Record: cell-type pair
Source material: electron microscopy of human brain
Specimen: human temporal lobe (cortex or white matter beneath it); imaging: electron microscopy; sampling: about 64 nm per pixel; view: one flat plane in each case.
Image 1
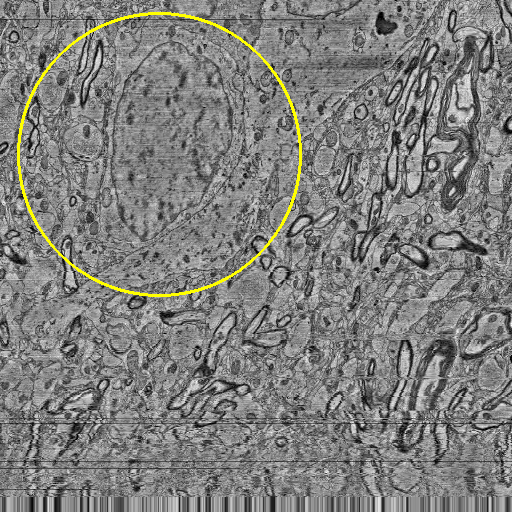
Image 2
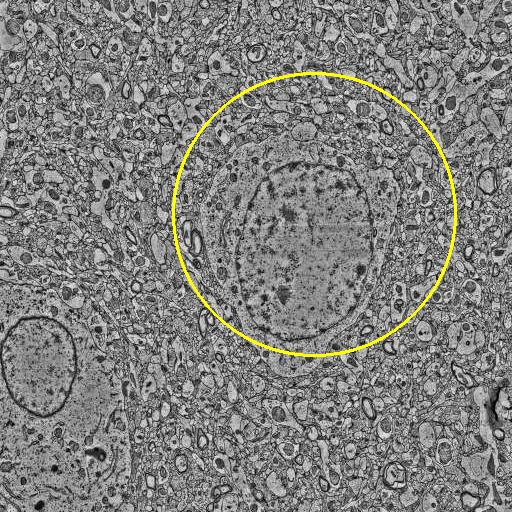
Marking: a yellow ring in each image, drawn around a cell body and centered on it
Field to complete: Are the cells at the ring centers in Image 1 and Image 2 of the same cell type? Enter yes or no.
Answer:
yes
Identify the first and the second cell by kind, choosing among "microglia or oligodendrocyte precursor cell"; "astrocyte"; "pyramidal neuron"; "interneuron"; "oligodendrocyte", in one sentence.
In each of the two pictures, the ringed cell is an interneuron.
